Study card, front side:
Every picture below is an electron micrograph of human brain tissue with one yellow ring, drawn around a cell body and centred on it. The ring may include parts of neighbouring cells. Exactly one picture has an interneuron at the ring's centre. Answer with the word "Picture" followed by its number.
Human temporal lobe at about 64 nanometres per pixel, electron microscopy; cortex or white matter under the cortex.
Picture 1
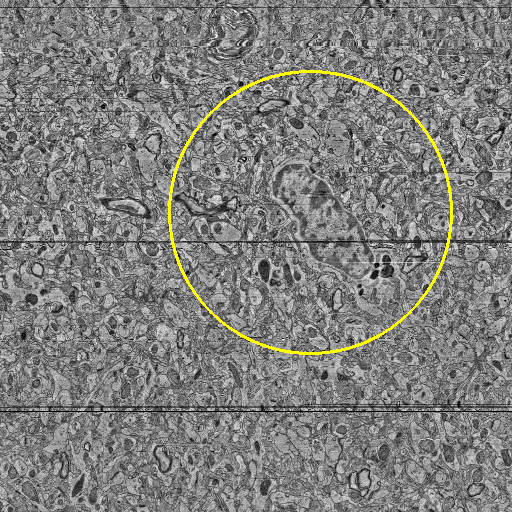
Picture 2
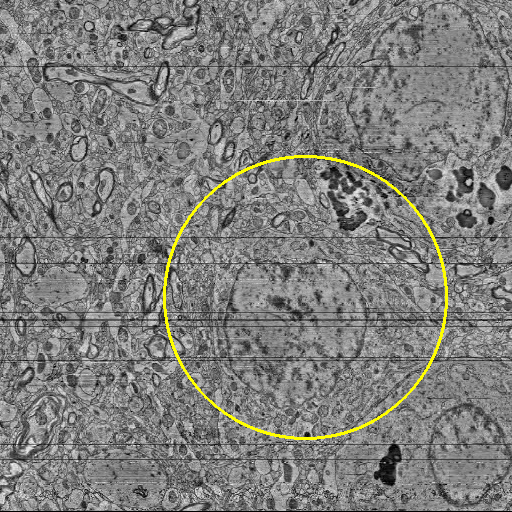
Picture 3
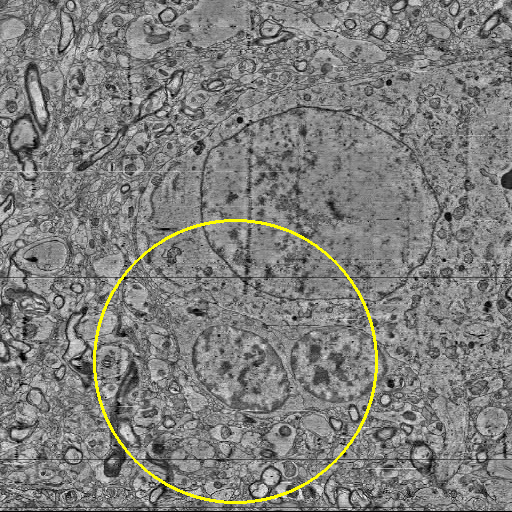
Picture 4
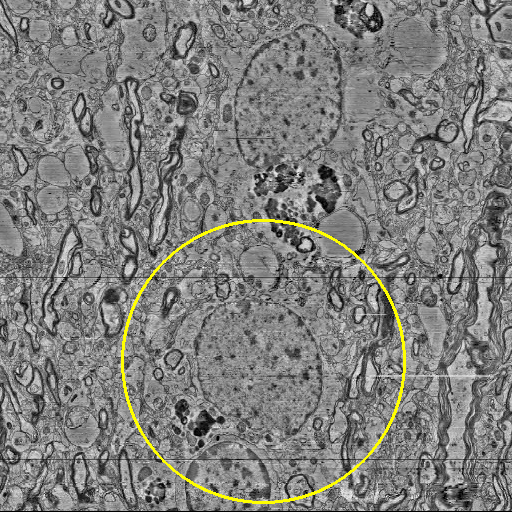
Picture 2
